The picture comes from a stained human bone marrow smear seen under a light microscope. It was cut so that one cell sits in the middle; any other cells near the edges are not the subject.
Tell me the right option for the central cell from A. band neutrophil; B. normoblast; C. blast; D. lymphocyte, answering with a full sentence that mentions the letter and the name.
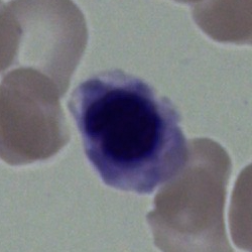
The correct response is option B, naming the cell in the middle as a normoblast.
